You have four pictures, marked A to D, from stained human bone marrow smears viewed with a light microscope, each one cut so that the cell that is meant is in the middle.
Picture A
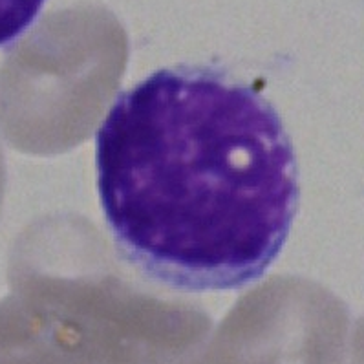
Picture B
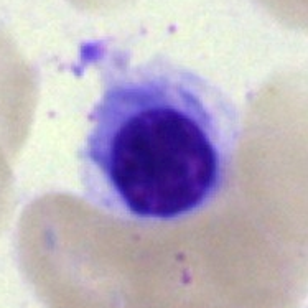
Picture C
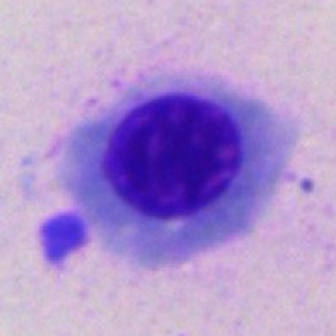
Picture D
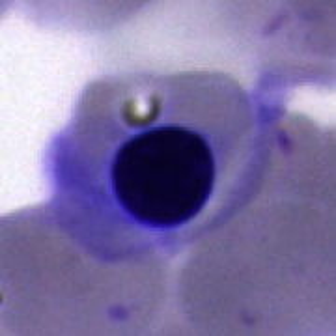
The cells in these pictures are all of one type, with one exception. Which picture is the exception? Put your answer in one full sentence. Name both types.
Unlike the rest, which show erythroblasts, picture A shows a lymphocyte.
